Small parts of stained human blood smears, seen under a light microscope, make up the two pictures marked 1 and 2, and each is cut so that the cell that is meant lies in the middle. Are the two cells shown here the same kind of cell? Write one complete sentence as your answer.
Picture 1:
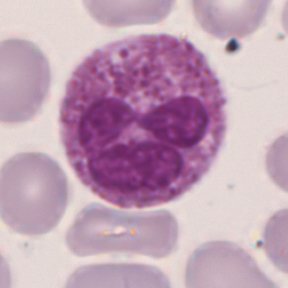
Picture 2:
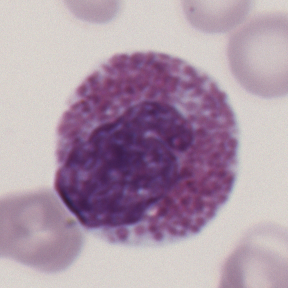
Yes; the cells in both pictures are eosinophils.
